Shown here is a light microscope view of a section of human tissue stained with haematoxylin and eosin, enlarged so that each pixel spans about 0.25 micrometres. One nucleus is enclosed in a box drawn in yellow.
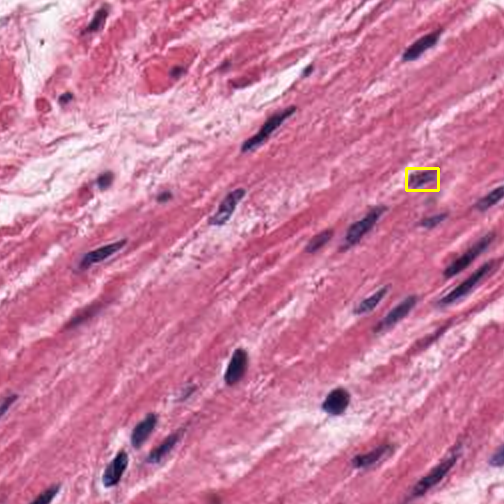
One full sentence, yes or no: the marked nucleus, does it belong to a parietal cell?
No, the nucleus marked on this image is not inside a parietal cell.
